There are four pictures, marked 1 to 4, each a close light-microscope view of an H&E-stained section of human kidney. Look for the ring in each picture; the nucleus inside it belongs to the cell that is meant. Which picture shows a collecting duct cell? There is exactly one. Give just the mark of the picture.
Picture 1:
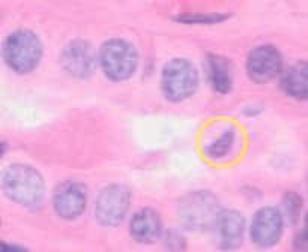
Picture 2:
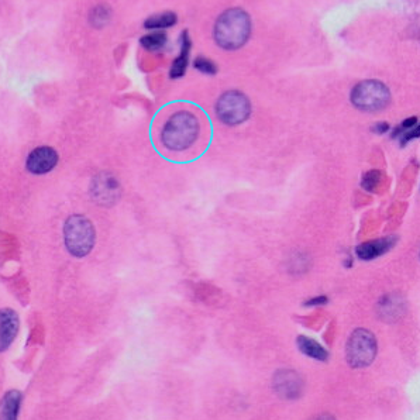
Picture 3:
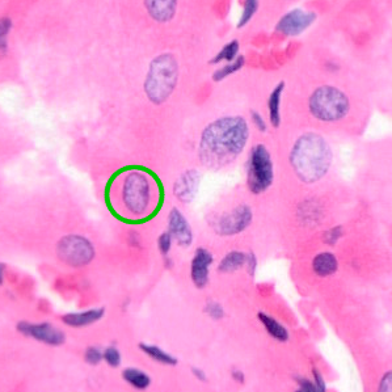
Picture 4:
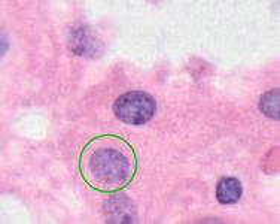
1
